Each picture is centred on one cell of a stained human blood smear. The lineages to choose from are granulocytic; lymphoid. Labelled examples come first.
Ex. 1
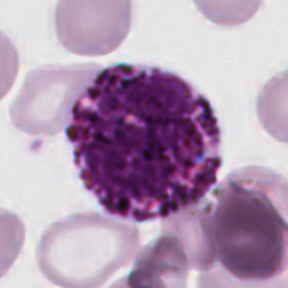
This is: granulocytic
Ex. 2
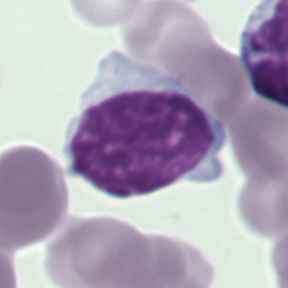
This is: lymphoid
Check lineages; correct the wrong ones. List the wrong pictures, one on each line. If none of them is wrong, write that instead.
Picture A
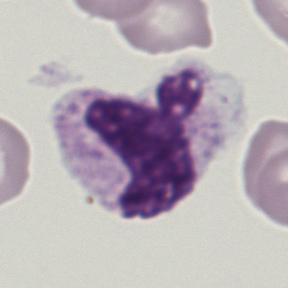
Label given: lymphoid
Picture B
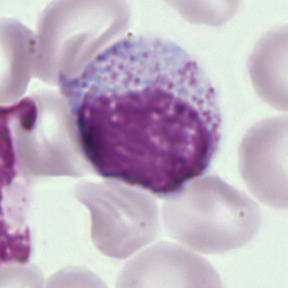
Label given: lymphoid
A: change lymphoid to granulocytic
B: change lymphoid to granulocytic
